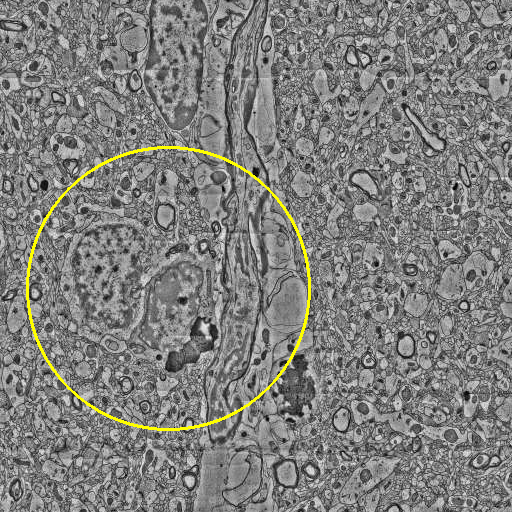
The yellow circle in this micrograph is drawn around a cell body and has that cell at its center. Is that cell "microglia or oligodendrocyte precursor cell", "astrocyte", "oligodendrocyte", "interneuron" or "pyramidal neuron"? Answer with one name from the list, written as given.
oligodendrocyte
